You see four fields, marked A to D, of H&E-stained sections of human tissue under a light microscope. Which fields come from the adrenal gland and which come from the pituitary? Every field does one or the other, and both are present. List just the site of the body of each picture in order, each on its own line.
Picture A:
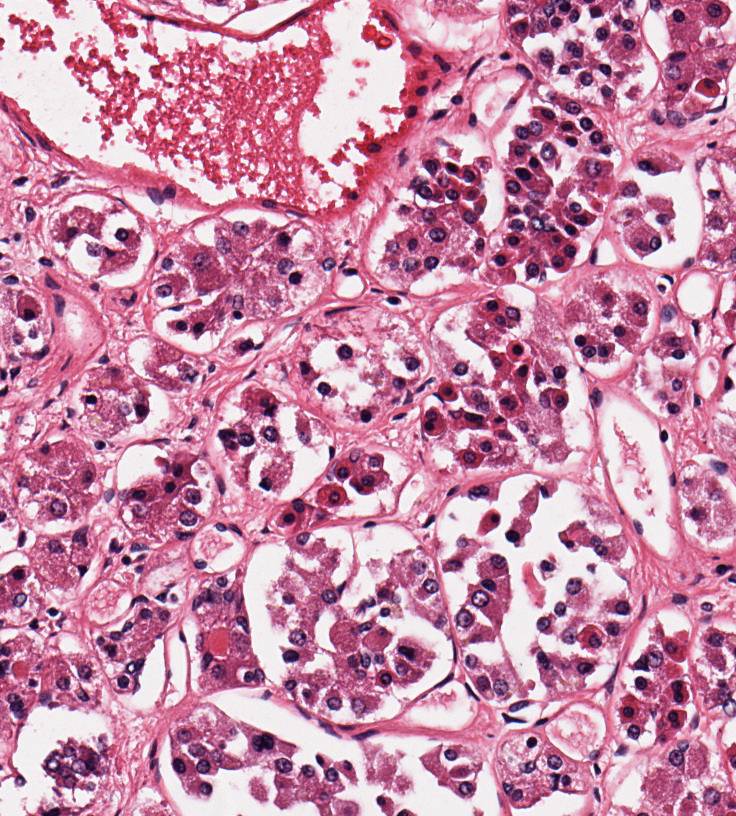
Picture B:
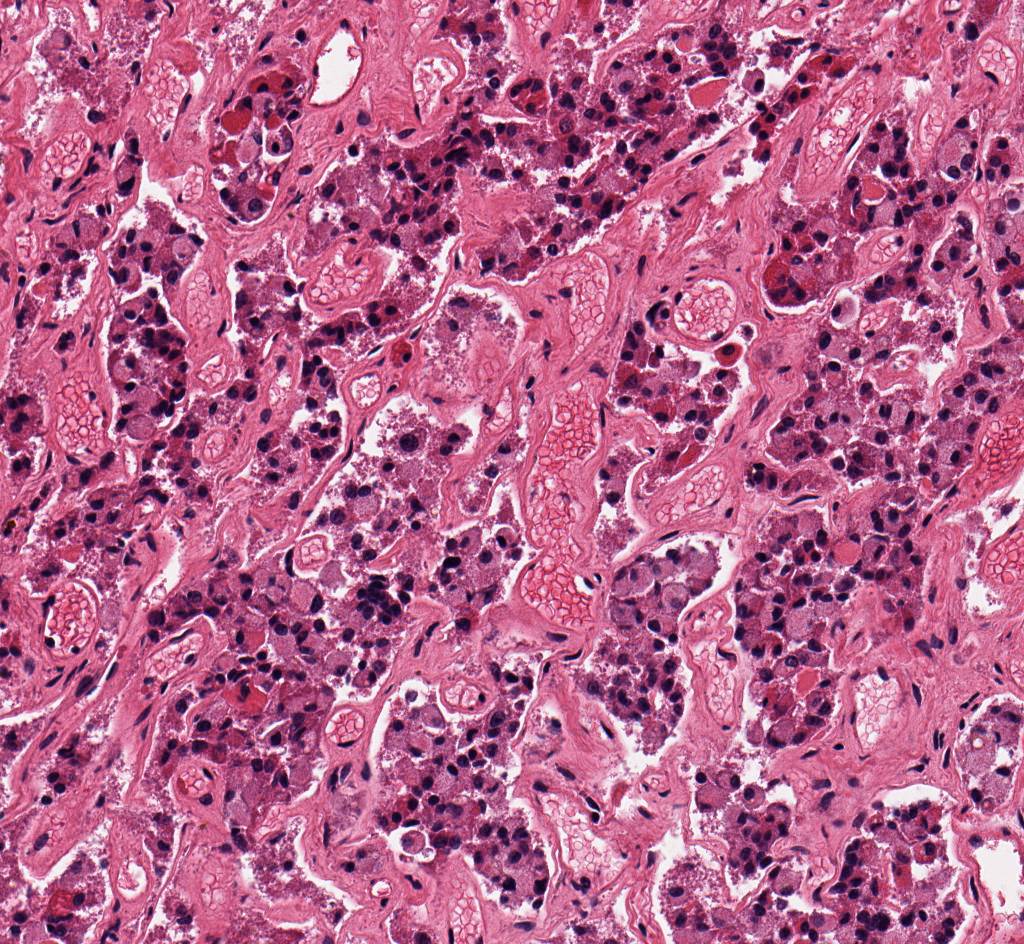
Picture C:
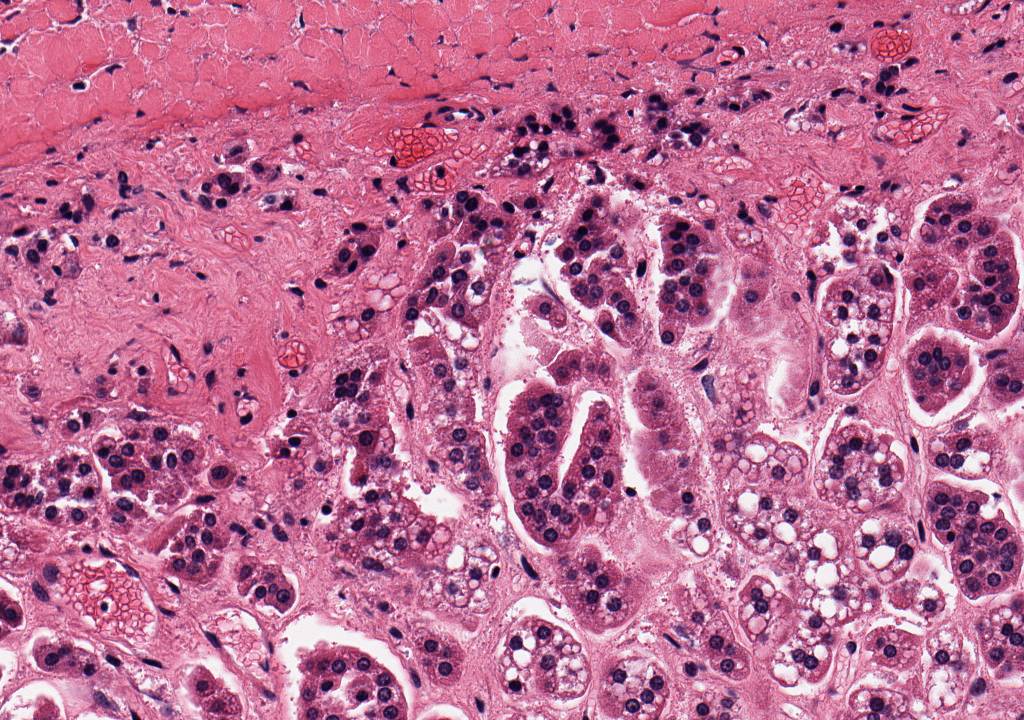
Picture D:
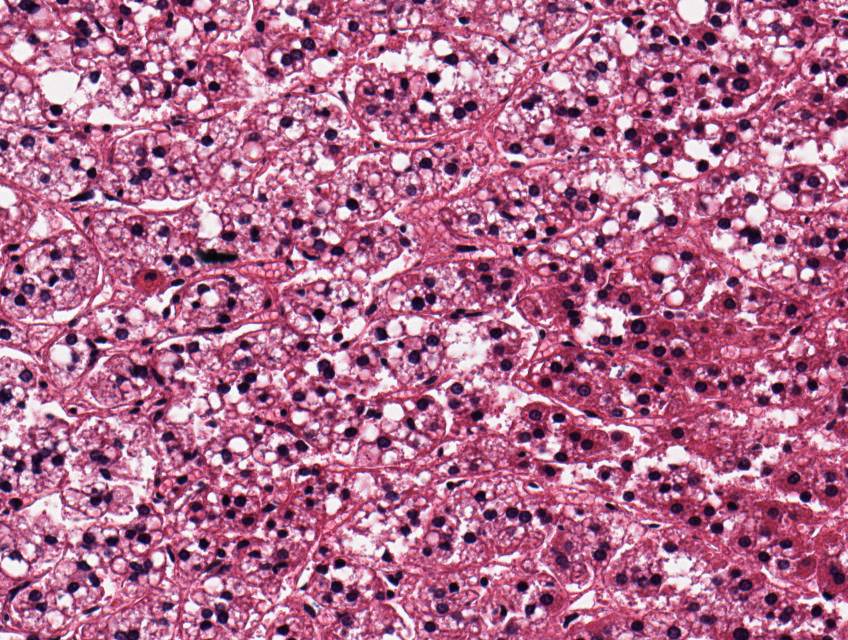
pituitary
pituitary
adrenal gland
adrenal gland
